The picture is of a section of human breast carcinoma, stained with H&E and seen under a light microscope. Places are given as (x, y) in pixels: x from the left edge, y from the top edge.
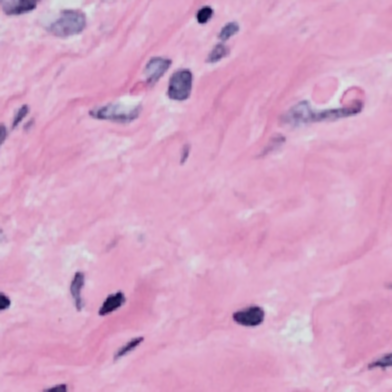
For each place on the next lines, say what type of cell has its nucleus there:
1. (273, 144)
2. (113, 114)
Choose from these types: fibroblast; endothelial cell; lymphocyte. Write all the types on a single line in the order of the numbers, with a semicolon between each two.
fibroblast; endothelial cell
